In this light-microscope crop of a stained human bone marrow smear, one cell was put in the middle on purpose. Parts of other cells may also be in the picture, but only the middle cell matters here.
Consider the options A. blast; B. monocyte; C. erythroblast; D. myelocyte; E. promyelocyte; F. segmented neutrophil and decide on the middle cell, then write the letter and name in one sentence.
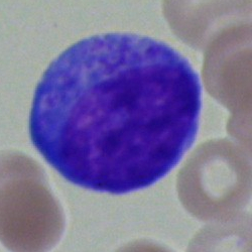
Option E holds up: the cell in the middle is a promyelocyte.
